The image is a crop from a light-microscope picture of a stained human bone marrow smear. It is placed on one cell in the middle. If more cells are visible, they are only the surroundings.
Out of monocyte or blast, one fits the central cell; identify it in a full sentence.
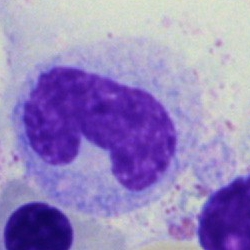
The cell shown in the center of this light-microscope crop is a monocyte.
